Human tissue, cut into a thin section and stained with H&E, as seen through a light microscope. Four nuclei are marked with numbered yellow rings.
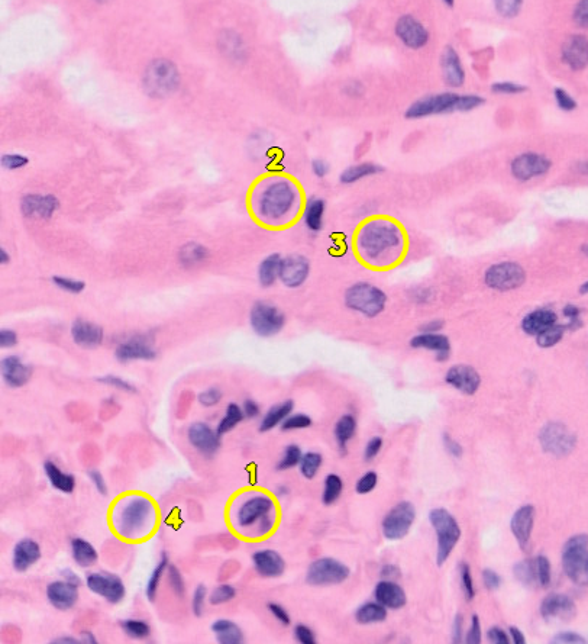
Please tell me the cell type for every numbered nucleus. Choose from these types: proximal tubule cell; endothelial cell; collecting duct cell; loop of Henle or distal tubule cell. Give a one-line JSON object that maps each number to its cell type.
{"1": "endothelial cell", "2": "proximal tubule cell", "3": "proximal tubule cell", "4": "endothelial cell"}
